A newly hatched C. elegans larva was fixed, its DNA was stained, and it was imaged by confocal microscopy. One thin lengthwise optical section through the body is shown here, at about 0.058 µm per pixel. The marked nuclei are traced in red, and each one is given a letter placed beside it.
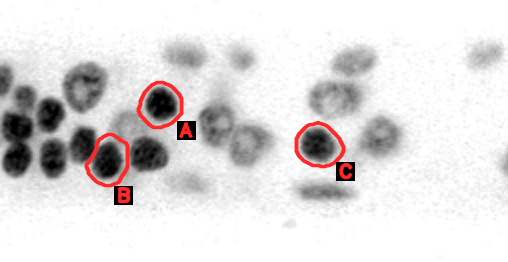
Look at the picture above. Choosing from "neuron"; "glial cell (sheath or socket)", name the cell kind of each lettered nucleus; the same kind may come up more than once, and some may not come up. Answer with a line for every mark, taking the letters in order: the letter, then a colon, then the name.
A: glial cell (sheath or socket)
B: neuron
C: neuron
